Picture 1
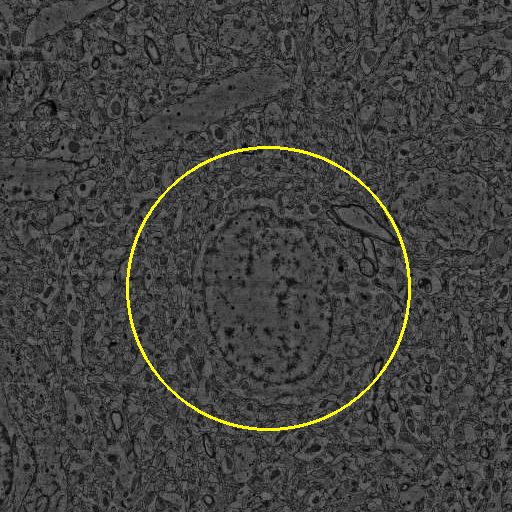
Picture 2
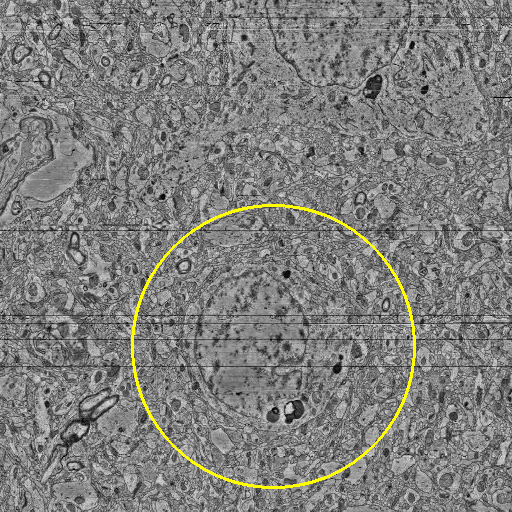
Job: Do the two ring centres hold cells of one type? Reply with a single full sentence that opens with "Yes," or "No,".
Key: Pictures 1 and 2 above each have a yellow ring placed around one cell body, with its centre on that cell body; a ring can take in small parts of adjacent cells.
Yes, the cells at the two ring centres are of one single type.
